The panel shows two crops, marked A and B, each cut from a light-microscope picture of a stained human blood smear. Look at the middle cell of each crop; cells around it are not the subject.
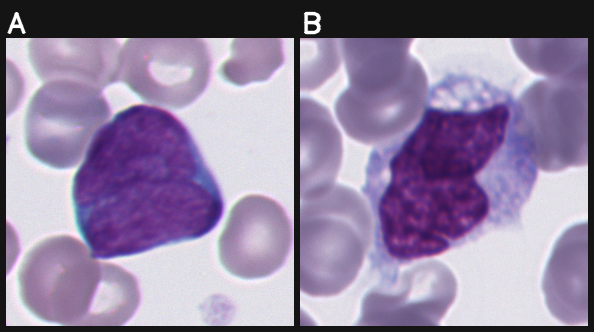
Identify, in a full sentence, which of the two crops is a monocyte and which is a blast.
What crop A shows is a blast, and what crop B shows is a monocyte.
